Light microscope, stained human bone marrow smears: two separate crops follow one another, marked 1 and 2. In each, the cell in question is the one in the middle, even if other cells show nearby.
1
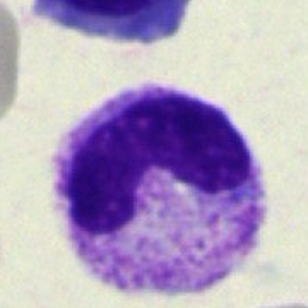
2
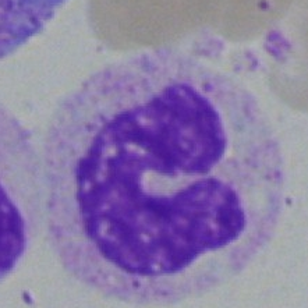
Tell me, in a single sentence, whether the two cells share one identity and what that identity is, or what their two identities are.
Yes, both crops have band neutrophils at the centre.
